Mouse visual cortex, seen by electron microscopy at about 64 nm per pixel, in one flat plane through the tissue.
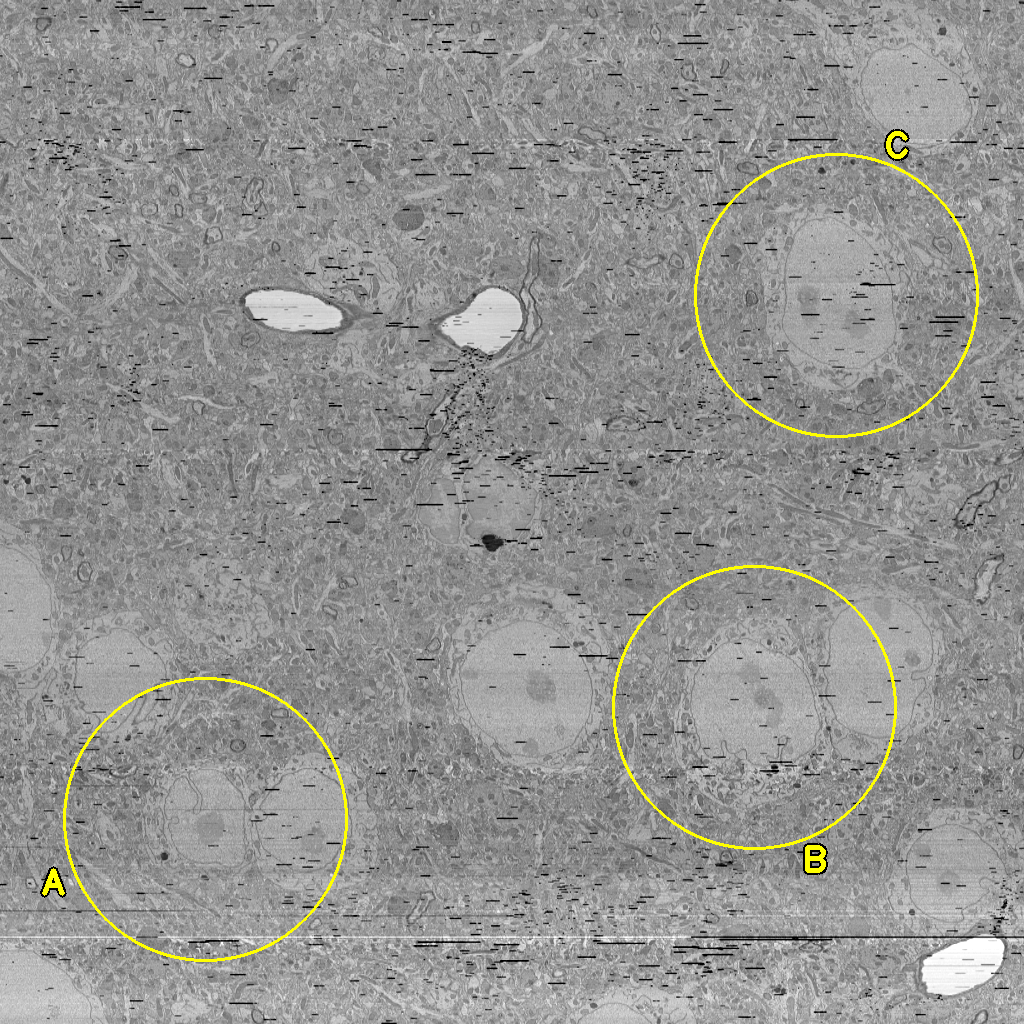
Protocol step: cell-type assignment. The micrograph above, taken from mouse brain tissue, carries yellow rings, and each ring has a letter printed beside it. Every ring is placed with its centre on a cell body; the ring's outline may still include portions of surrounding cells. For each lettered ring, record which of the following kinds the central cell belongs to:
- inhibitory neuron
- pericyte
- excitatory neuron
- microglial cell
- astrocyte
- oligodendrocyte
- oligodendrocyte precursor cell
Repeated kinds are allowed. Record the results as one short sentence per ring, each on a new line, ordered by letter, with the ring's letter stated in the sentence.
In ring A, the central cell is an inhibitory neuron.
In ring B, the central cell is an inhibitory neuron.
In ring C, the central cell is an excitatory neuron.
